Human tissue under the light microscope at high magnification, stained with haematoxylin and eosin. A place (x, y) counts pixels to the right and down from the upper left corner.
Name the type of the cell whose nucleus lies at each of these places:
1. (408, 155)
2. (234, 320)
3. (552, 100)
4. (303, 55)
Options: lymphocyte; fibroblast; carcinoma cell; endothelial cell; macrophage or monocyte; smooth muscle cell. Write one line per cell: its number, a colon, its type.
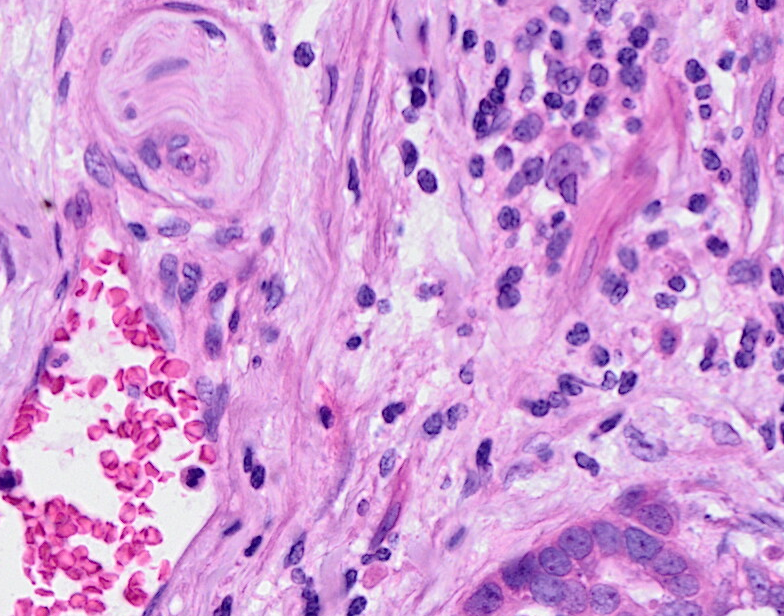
1: lymphocyte
2: endothelial cell
3: lymphocyte
4: lymphocyte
